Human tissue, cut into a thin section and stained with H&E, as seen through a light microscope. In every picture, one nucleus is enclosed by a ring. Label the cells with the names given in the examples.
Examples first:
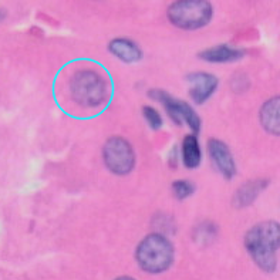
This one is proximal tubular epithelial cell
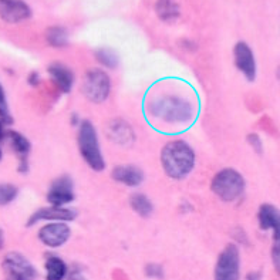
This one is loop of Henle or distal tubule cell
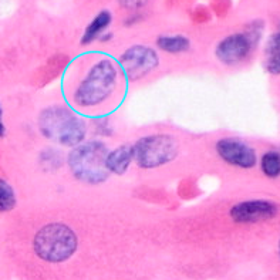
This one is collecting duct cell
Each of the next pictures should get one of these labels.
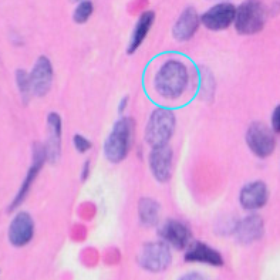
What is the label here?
collecting duct cell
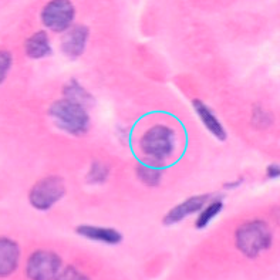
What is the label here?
loop of Henle or distal tubule cell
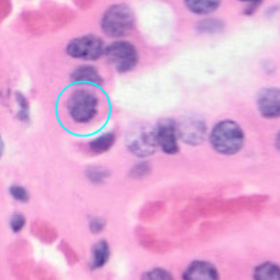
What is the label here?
collecting duct cell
